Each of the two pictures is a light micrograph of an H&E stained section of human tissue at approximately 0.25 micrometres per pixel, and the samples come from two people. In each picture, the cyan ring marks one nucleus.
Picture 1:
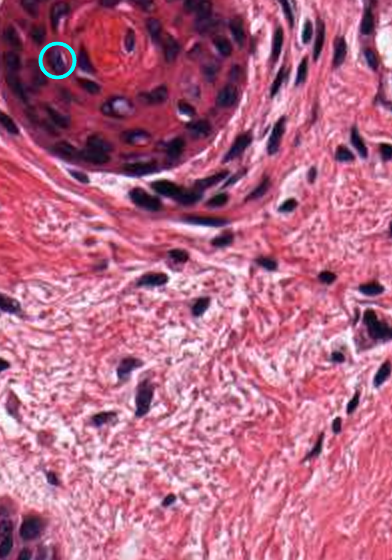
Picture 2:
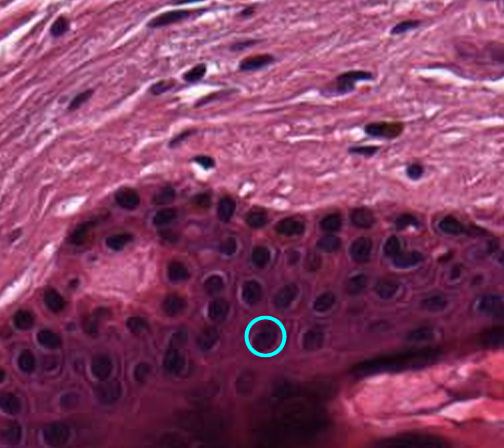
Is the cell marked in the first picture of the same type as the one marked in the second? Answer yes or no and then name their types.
Yes, both are keratinocytes.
